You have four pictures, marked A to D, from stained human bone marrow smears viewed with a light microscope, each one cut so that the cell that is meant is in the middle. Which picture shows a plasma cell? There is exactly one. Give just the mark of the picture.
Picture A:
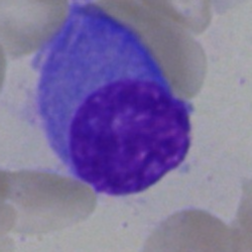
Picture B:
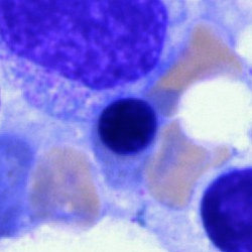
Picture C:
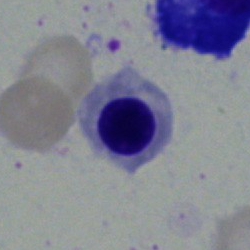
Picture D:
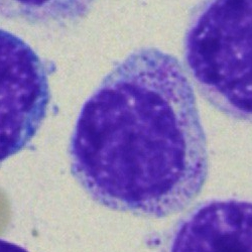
A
